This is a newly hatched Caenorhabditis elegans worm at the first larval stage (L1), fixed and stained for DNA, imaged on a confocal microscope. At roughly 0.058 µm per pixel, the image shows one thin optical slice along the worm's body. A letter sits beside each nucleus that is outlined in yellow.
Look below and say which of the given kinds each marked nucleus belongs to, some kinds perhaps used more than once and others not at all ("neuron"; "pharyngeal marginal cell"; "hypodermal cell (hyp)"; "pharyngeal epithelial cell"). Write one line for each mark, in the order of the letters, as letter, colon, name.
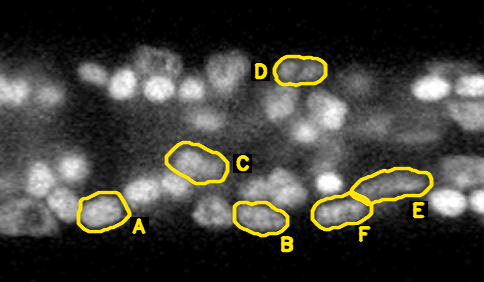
A: neuron
B: hypodermal cell (hyp)
C: neuron
D: hypodermal cell (hyp)
E: pharyngeal epithelial cell
F: hypodermal cell (hyp)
